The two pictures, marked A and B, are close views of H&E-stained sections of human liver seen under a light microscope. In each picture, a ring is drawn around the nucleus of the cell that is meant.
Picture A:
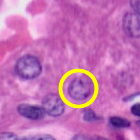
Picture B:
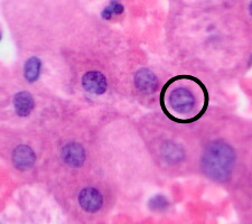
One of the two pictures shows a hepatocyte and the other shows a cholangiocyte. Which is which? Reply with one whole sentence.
Picture B shows a hepatocyte, while picture A shows a cholangiocyte.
